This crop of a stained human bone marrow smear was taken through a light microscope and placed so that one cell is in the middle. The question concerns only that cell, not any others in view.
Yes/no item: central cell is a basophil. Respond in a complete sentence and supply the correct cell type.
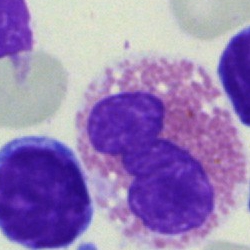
No, the cell in the middle is correctly named an eosinophil, not a basophil.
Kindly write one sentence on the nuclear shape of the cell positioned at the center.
In short, this nucleus is segmented into two or more parts.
